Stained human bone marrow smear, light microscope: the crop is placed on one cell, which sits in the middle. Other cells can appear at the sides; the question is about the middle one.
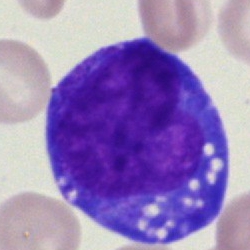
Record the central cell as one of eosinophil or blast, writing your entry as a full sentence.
The cell marked by its central position in the crop is a blast.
